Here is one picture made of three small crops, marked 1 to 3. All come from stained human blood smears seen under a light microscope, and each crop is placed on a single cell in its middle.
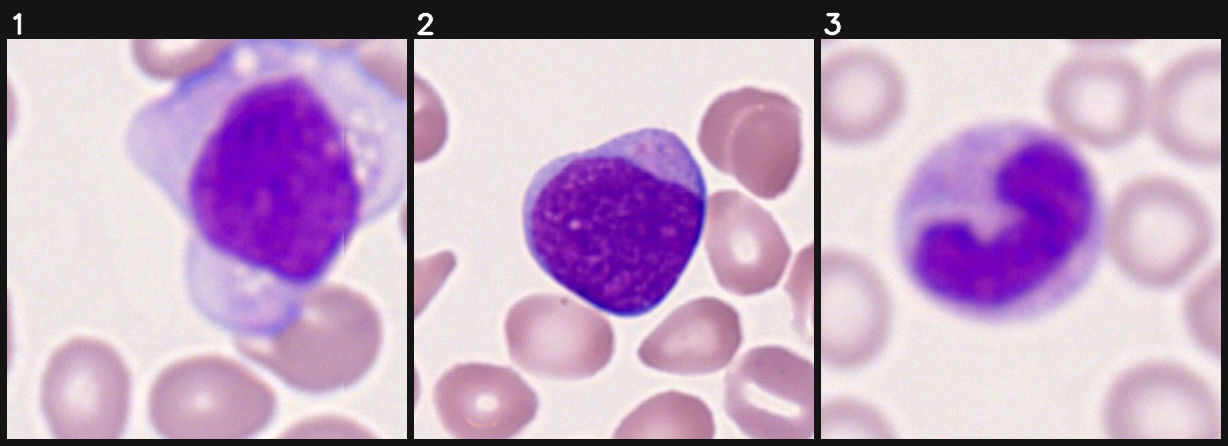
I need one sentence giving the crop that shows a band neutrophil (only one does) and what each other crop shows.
Crop 3 is recognised as a band neutrophil, whereas crop 1 is a monocyte and crop 2 is a myeloblast.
